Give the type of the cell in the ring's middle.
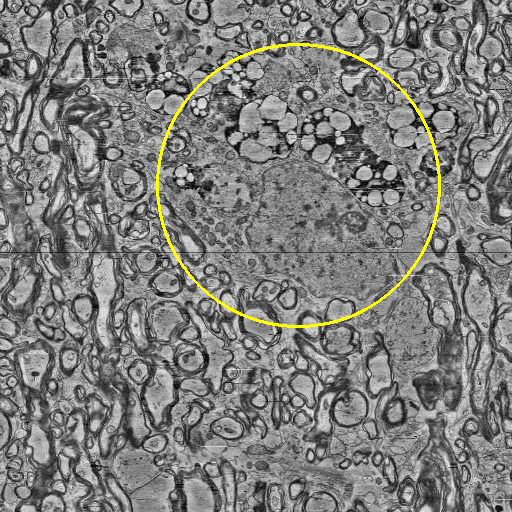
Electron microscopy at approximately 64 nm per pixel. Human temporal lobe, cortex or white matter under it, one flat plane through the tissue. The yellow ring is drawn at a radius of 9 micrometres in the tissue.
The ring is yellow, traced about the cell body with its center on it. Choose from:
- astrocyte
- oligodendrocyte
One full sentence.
Here, an astrocyte is the cell lying at the center of the yellow ring.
